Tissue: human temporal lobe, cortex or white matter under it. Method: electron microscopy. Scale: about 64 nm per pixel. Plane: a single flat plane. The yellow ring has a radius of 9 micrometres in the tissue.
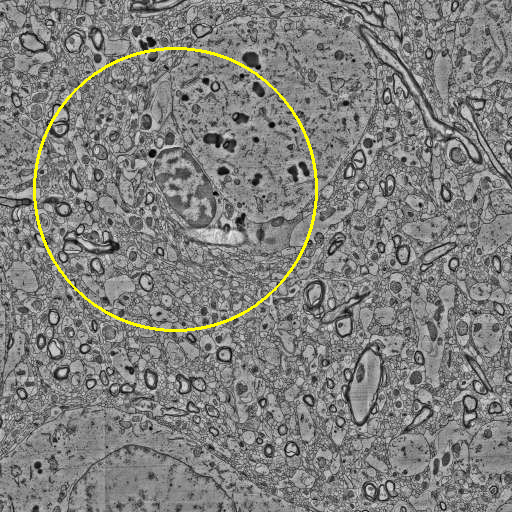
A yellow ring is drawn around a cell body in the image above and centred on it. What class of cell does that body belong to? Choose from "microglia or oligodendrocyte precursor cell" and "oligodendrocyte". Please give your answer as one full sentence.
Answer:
The yellow ring above is centred on the cell body of a microglial cell or oligodendrocyte precursor cell.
